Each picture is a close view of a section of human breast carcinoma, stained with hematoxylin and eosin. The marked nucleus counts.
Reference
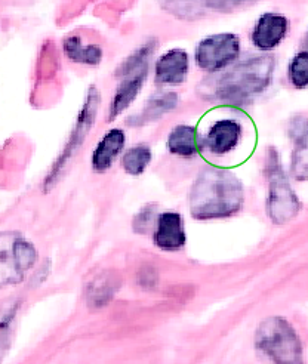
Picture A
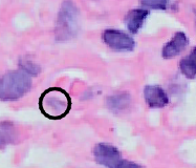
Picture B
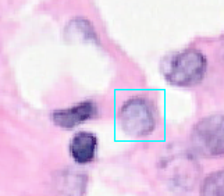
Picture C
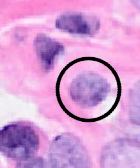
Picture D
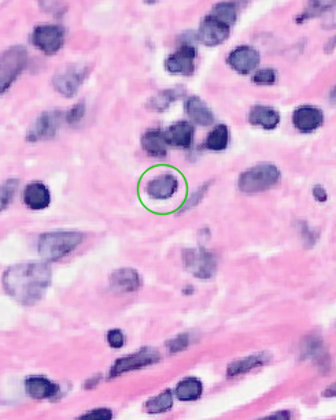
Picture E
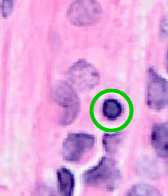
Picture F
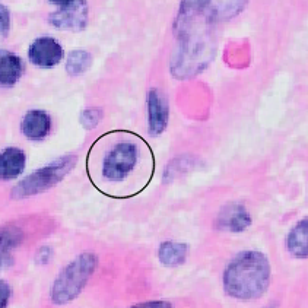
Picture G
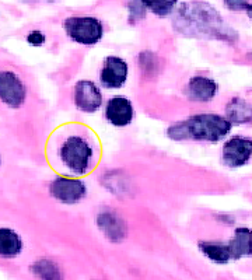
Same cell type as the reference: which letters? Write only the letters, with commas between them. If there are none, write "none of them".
D, E, F, G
